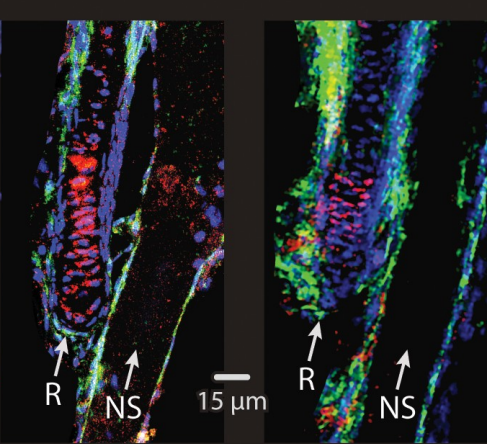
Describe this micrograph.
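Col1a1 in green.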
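Two fluorescence views of a fish radial lying beside a slender neural spine. In the left view, the radial holds a central column of densely packed cells stacked in transverse rows. These cells carry red signal, with blue nuclei among them. A thin green layer lines the outer surface of the radial and the edges of the neighbouring spine, where scattered blue nuclei lie. In the right view, the red signal in the central column is weaker and patchier. Broad green-stained areas cover the upper part and the margins of the radial, and green signal also lines the spine.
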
